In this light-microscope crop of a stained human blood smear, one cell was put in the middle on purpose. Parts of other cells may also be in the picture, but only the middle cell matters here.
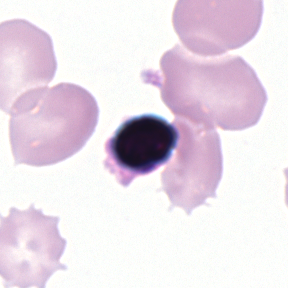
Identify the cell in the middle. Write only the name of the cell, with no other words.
normoblast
